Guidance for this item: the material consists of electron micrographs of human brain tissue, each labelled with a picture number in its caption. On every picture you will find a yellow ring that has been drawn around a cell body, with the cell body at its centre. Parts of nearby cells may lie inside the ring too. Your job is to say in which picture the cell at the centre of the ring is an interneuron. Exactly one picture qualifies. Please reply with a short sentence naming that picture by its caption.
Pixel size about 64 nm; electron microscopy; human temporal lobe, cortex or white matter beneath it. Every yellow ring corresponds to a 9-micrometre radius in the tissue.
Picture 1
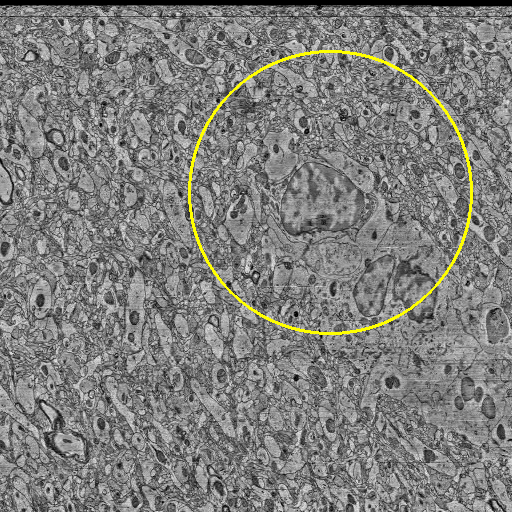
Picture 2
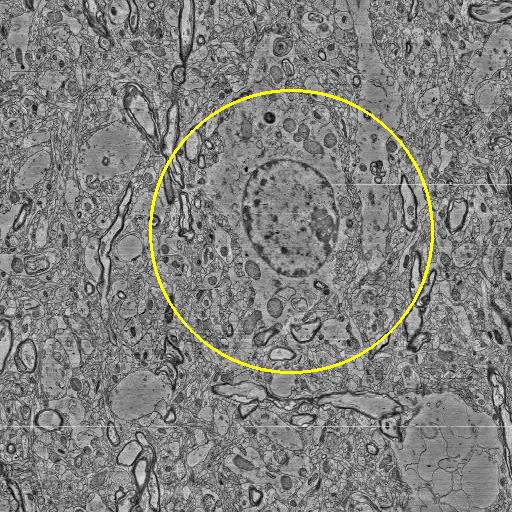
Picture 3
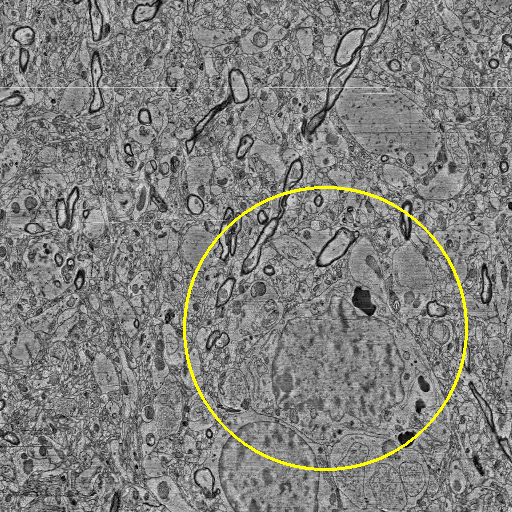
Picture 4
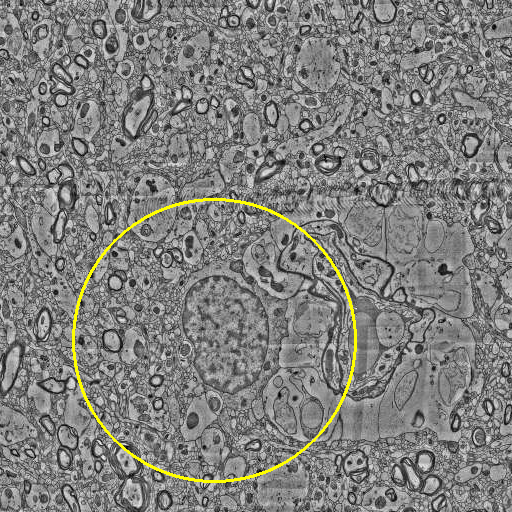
Picture 3 shows it at the centre of the ring.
